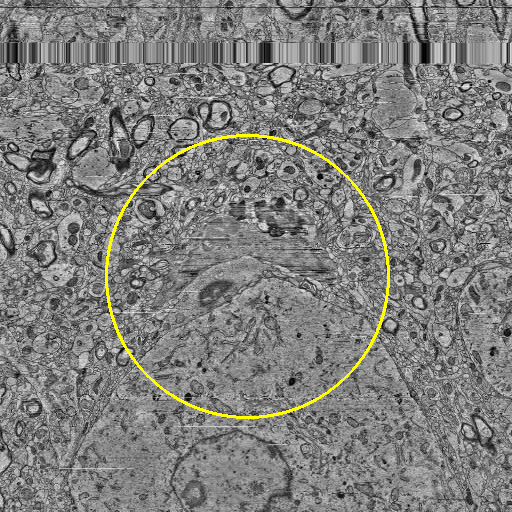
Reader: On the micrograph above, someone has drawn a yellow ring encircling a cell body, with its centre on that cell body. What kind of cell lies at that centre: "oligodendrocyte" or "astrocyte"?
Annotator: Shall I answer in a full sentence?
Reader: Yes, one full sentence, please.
Here an oligodendrocyte sits at the centre of the yellow ring drawn on the micrograph.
